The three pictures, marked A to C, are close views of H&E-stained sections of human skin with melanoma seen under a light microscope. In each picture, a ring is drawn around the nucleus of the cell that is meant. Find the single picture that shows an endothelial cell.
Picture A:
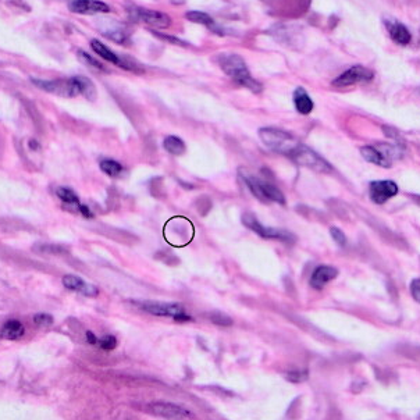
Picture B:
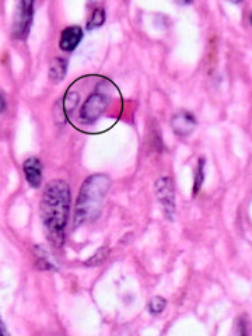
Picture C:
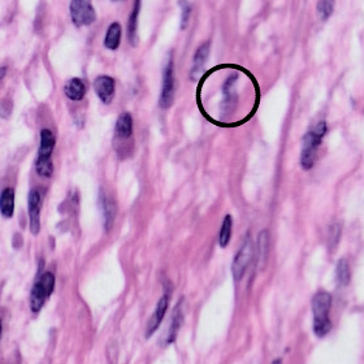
B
